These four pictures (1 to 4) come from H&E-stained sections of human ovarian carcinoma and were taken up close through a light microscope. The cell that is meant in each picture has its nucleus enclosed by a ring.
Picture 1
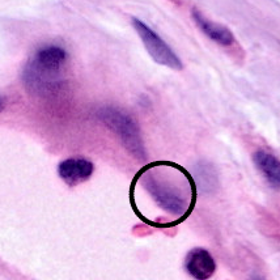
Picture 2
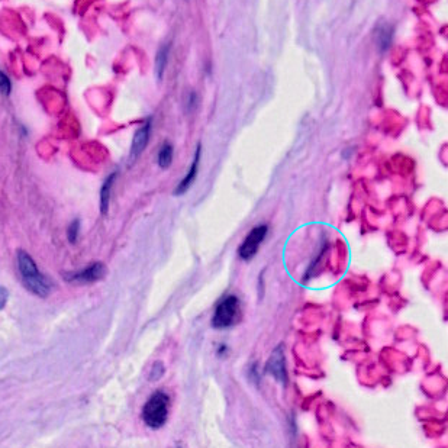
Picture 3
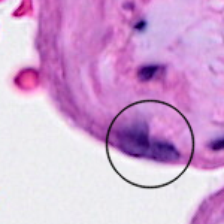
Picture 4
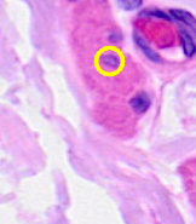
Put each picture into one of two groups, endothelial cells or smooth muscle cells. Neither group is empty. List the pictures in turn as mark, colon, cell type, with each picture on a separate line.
1: endothelial cell
2: endothelial cell
3: endothelial cell
4: smooth muscle cell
